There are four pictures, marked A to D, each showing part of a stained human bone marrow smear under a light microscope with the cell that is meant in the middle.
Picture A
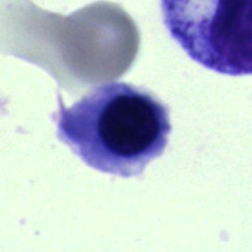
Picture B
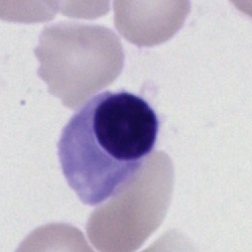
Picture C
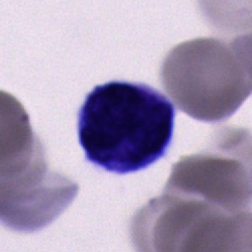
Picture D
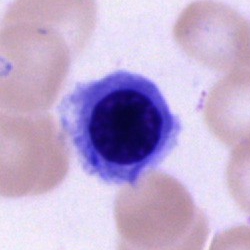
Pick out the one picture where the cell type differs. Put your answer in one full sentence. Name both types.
Picture C is the odd one out: it shows a lymphocyte, while the others show erythroblasts.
